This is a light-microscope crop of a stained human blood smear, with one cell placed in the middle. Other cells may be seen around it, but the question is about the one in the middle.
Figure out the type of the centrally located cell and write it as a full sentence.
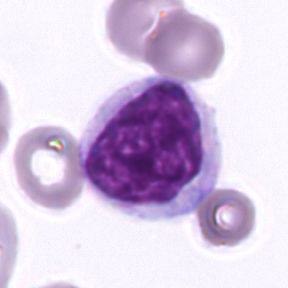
The middle position in this crop is taken by a metamyelocyte.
